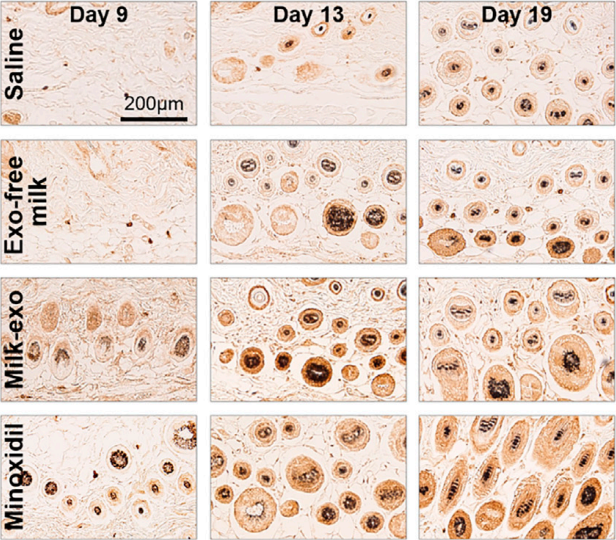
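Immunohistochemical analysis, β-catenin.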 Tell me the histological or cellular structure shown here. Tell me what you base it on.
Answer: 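Hair follicles. Many round to oval ring-shaped profiles lie scattered in a pale fibrous background. Several profiles show a small dark, shaft-like centre.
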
